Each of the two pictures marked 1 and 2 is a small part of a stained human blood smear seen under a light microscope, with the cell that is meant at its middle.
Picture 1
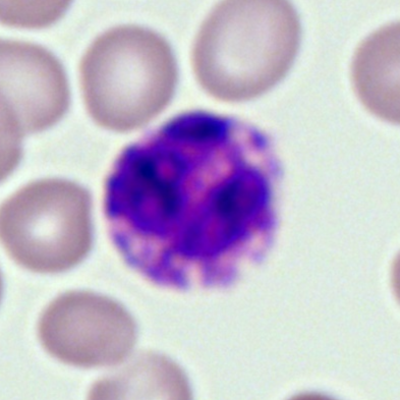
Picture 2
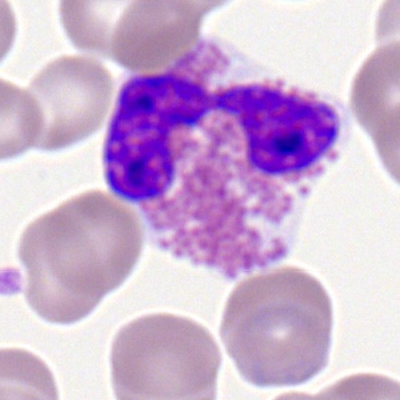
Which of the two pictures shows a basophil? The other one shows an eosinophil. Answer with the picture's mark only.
1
